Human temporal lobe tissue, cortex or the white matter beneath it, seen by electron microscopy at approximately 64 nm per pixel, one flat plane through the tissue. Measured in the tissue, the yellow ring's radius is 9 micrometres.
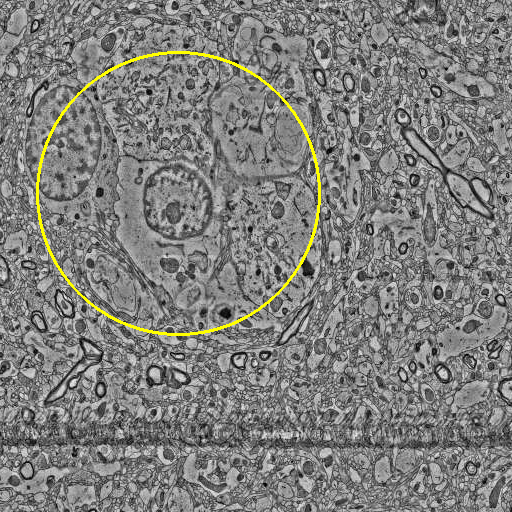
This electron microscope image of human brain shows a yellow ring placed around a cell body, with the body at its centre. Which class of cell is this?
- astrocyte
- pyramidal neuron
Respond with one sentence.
The cell body at the ring's centre is an astrocyte.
